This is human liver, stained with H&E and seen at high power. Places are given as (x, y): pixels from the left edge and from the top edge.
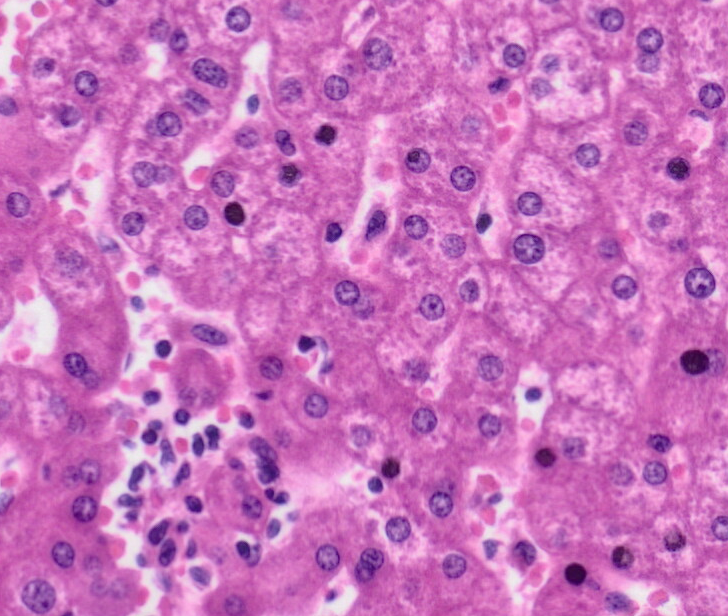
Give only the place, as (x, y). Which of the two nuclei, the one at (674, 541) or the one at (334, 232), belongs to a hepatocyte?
(674, 541)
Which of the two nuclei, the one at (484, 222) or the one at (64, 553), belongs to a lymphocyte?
(484, 222)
